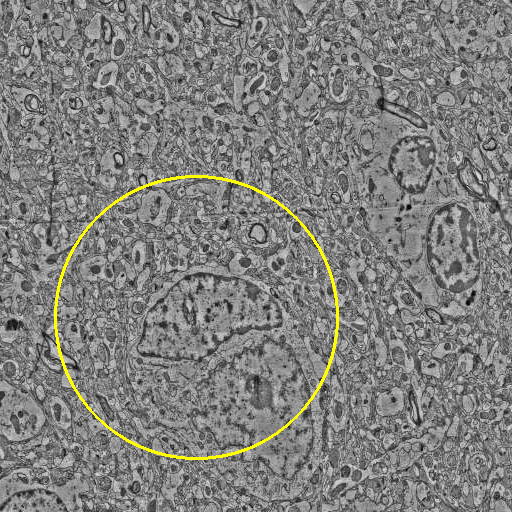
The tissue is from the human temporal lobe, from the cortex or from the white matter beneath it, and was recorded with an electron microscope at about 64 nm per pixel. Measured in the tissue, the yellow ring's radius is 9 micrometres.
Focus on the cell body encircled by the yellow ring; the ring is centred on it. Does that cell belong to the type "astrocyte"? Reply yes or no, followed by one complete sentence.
No, the cell lying at the centre of the ring in the picture is another type.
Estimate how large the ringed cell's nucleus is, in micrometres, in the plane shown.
In this plane the nucleus is about 9 micrometres by 6.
